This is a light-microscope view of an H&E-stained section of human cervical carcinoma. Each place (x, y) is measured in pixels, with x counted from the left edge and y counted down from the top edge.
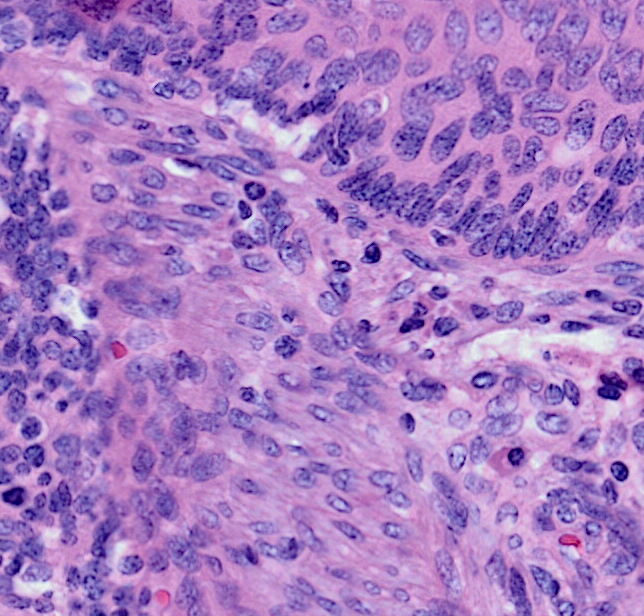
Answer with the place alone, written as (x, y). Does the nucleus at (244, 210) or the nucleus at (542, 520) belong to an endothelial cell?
(542, 520)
